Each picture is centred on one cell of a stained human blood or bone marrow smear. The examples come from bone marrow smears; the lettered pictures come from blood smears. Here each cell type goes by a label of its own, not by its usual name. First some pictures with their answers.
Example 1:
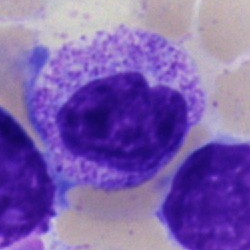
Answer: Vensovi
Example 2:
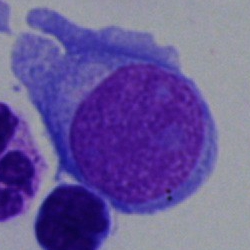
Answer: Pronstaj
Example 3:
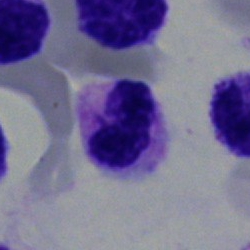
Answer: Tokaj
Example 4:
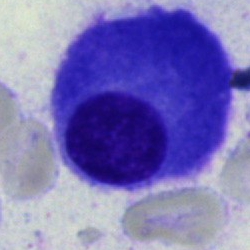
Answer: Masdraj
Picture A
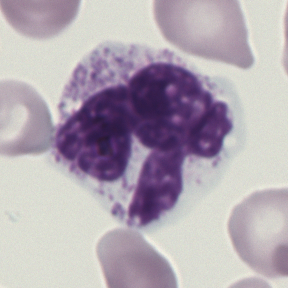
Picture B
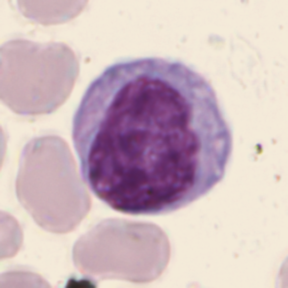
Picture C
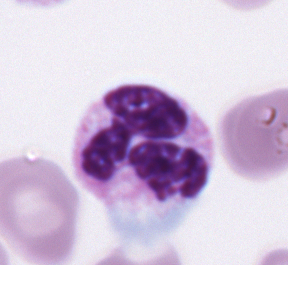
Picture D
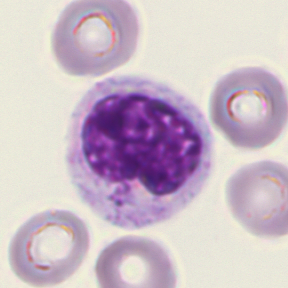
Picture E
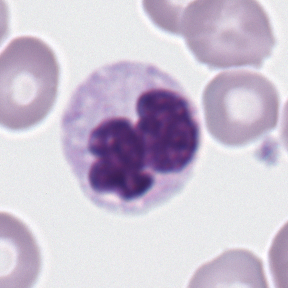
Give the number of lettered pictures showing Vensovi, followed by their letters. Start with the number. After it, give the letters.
Count: 1 (D)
